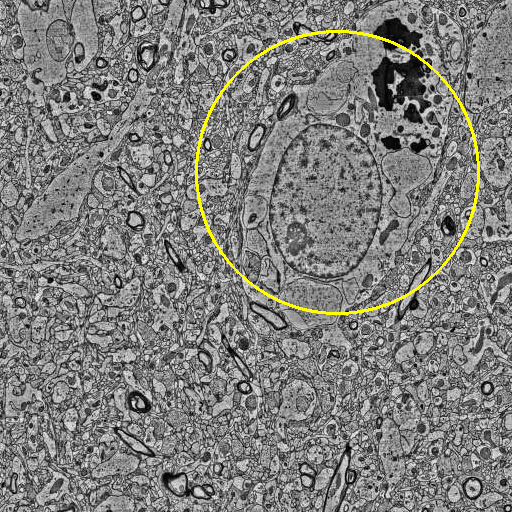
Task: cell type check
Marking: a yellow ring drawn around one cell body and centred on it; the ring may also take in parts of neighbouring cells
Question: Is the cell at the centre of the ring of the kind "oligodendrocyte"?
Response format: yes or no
no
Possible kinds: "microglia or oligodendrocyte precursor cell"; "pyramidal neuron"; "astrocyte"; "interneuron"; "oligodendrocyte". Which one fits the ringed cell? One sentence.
The cell ringed in the picture is an astrocyte.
